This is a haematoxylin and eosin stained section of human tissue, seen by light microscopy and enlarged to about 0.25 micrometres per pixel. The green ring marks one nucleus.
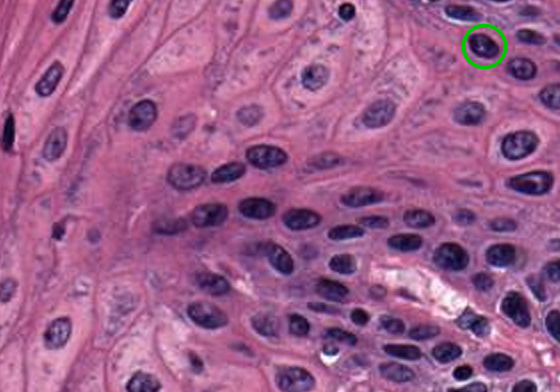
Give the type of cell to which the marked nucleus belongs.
squamous epithelial cell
